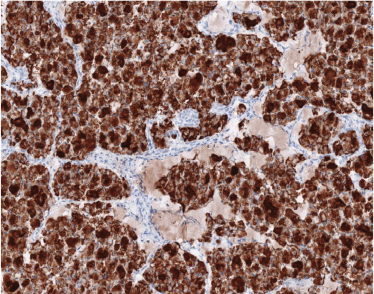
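Section of a solid tumour whose cells form tightly packed nests and sheets. The tumour cells are large and polygonal, with abundant cytoplasm that stains intensely and diffusely brown, often obscuring the nuclei. Narrow strands of stroma run between the nests; their small spindle nuclei are counterstained blue and carry no brown stain. Here and there, pale pink-tan acellular material lies between the cell nests.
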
